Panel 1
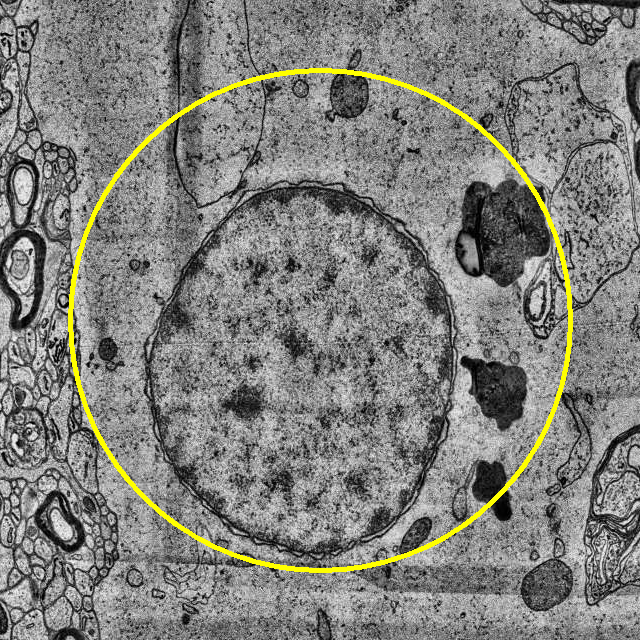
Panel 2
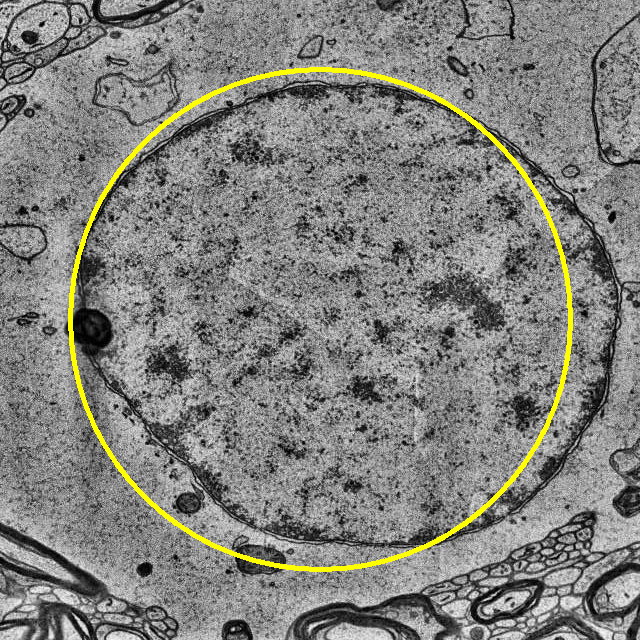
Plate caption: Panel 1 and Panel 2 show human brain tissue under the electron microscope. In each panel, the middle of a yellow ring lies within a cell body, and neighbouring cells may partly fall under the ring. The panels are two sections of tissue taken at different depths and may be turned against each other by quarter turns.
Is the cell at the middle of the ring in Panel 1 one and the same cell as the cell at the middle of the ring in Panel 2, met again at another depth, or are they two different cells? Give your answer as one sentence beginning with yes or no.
Yes, the same cell has been marked in both yellow rings.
